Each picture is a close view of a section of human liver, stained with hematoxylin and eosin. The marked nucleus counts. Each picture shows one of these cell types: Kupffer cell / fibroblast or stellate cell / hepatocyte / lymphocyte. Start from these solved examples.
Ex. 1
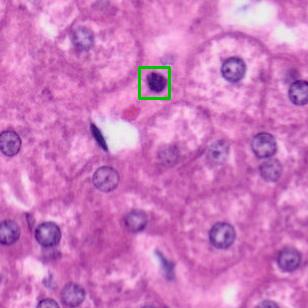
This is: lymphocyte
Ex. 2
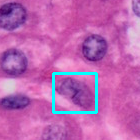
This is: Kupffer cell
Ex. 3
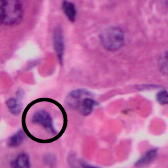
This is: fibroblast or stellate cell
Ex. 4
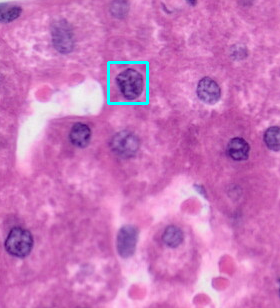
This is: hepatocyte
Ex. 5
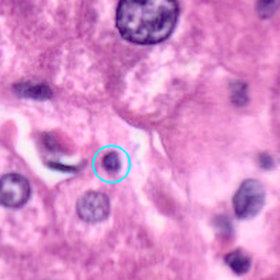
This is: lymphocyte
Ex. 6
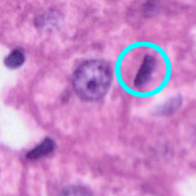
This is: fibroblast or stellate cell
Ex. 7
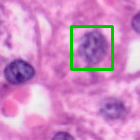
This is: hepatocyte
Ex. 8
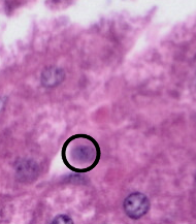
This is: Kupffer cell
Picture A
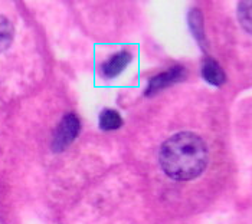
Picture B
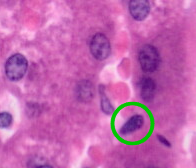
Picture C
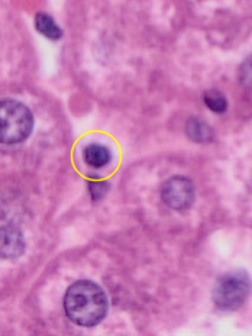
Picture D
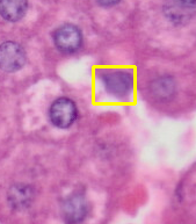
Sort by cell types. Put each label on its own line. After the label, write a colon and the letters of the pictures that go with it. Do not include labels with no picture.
Kupffer cell: D
fibroblast or stellate cell: B
lymphocyte: A, C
